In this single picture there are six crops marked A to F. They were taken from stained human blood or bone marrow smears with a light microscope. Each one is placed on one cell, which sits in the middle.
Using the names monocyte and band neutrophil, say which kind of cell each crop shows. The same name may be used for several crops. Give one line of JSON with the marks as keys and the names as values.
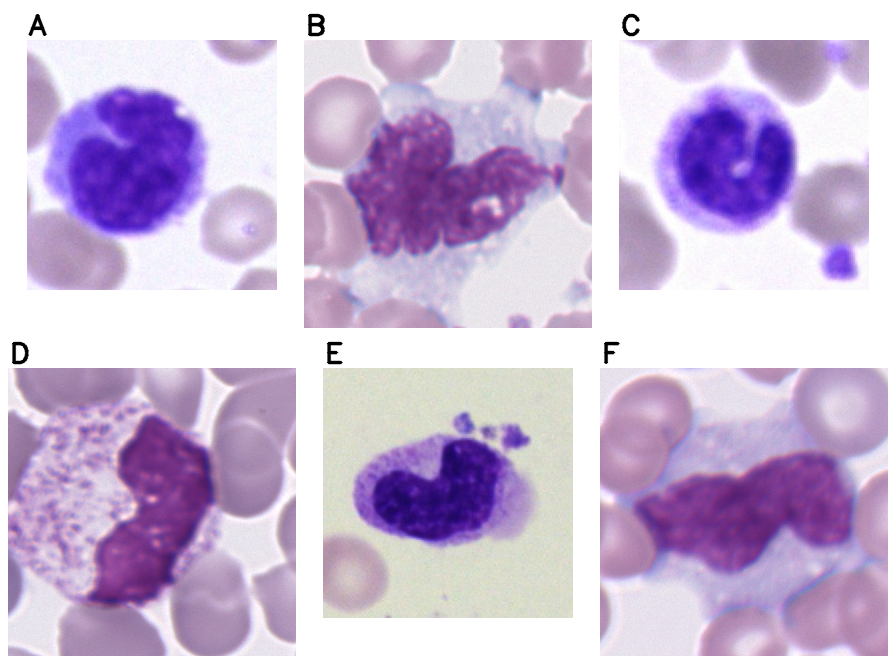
{"A": "monocyte", "B": "monocyte", "C": "band neutrophil", "D": "band neutrophil", "E": "band neutrophil", "F": "monocyte"}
